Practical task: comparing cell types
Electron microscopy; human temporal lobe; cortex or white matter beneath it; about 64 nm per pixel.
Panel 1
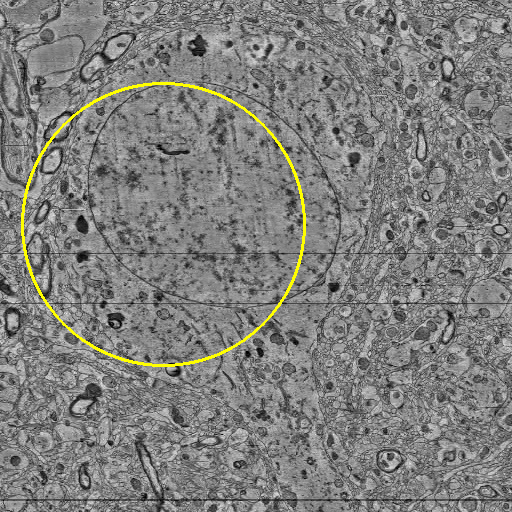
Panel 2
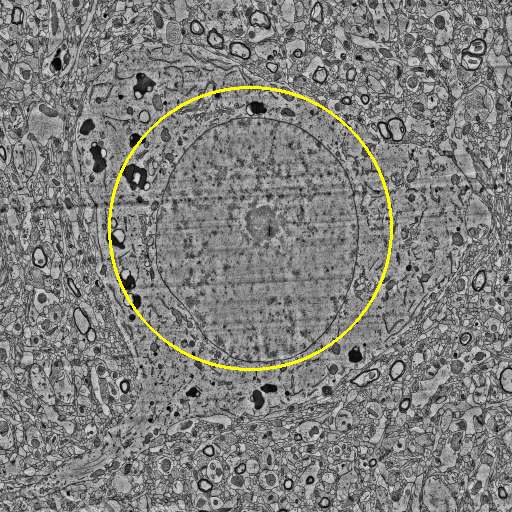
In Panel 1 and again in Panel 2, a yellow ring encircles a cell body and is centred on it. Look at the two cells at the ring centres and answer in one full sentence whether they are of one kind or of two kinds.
The two cells sitting at the ring centres of Panels 1 and 2 are of one kind.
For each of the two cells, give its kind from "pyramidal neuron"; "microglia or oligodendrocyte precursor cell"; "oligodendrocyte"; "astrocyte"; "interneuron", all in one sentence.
Both the first and the second picture show a pyramidal neuron in the ring.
